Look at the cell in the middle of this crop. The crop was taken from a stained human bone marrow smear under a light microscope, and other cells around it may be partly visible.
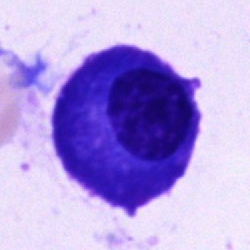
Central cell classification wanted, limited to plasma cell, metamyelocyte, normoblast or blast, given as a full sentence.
At the middle of the frame sits a plasma cell.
